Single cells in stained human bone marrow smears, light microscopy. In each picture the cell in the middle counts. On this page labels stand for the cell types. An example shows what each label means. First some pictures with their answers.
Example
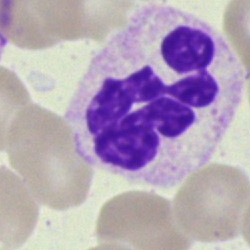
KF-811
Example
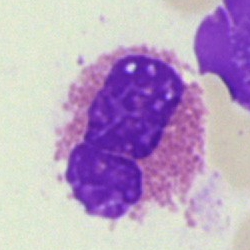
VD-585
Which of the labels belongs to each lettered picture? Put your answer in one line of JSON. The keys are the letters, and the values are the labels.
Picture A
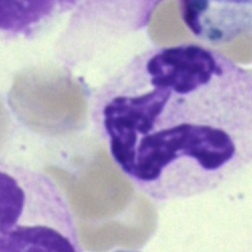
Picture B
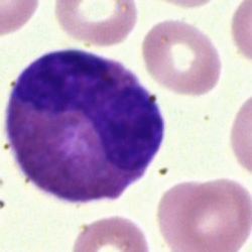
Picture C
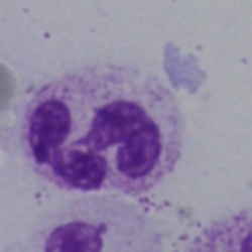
{"A": "KF-811", "B": "VD-585", "C": "KF-811"}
